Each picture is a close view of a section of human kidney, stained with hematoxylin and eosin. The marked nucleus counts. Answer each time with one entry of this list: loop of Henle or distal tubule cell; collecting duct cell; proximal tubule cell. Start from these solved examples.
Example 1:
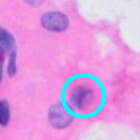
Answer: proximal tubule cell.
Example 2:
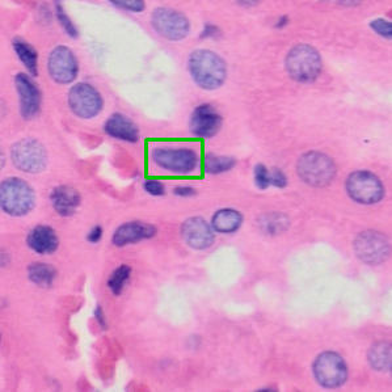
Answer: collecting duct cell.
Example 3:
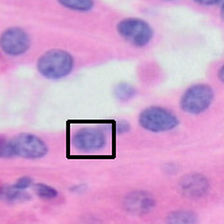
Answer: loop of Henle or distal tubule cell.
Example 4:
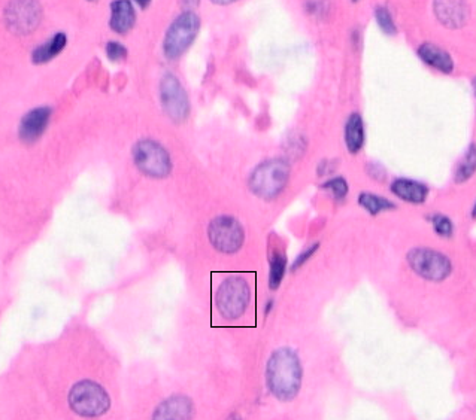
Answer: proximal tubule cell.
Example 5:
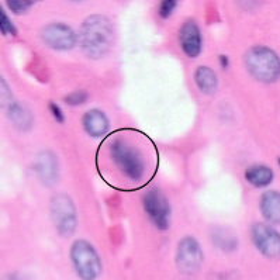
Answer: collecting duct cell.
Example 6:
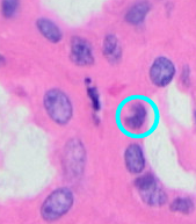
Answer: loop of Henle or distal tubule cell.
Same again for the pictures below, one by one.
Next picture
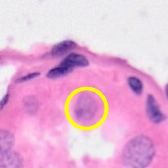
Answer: proximal tubule cell.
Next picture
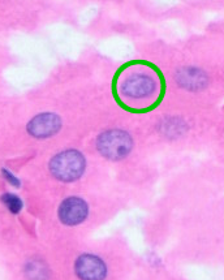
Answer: proximal tubule cell.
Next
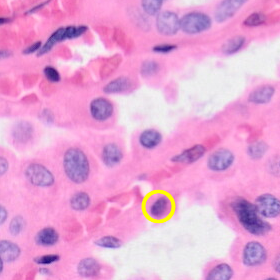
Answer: loop of Henle or distal tubule cell.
